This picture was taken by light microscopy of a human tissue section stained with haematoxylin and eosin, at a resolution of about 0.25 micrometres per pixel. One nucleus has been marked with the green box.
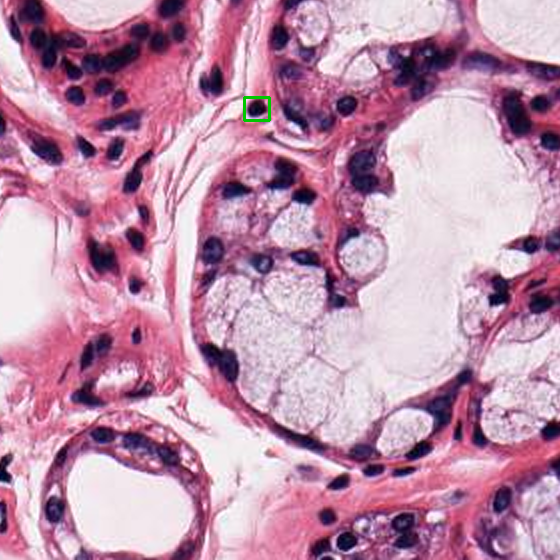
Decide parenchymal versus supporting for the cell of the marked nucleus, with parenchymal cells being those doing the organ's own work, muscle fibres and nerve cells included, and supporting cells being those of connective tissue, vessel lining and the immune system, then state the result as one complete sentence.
Belonging to a supporting cell is the nucleus that is marked.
